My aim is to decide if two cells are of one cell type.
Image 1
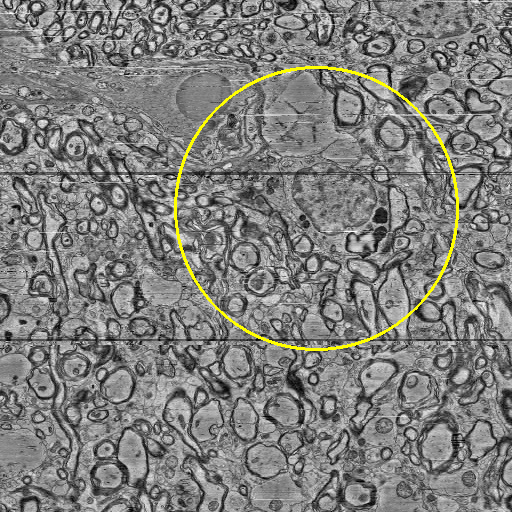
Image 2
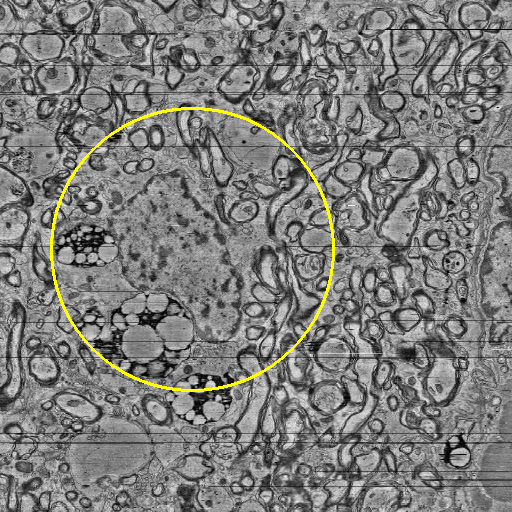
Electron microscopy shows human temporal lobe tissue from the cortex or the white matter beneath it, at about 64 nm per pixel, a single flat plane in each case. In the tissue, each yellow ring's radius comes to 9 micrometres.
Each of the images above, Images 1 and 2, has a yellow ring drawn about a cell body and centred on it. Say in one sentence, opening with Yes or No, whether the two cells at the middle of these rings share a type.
No, in Images 1 and 2 the cells at the middle of the rings fall into two types.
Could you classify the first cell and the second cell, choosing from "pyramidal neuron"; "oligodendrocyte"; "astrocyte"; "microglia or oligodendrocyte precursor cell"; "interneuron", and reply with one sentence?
The second cell is an astrocyte, while the first is an oligodendrocyte.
